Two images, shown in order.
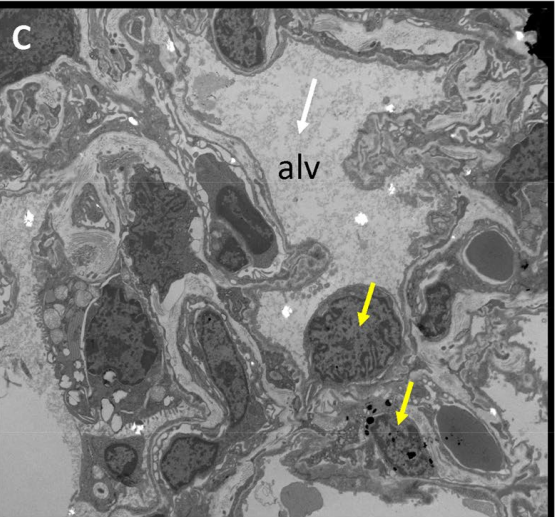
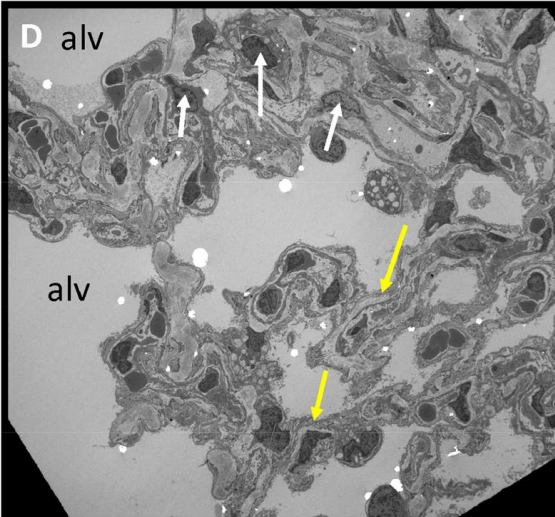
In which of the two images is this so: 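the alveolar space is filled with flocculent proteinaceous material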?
The first image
